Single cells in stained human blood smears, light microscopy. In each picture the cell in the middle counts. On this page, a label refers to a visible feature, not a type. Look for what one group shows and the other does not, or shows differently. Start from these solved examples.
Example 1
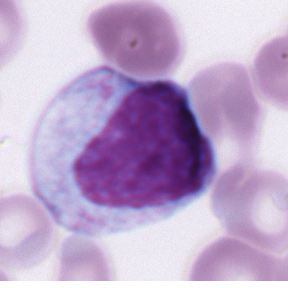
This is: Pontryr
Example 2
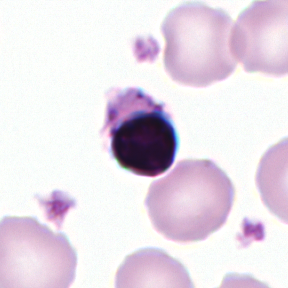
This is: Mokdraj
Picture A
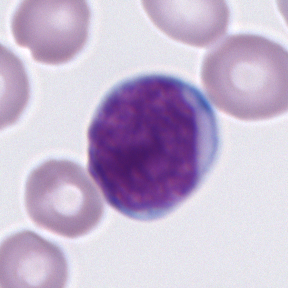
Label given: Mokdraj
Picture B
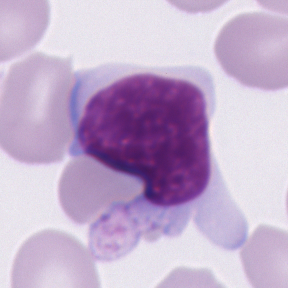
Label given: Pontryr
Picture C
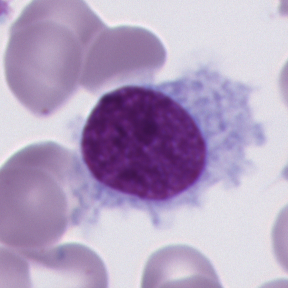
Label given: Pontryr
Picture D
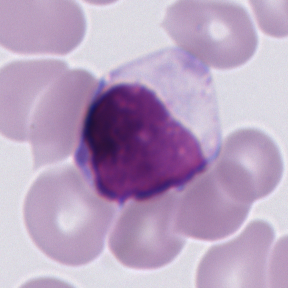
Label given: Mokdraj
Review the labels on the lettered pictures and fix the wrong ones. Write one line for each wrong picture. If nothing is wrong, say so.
D should be Pontryr, not Mokdraj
